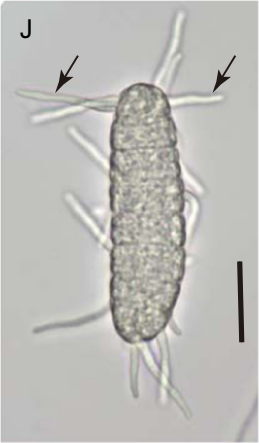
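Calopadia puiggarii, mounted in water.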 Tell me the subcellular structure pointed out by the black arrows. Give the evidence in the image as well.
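Many slender tubes grow out from the sides and ends of a single elongate spore. The tubes are narrow, pale and of even width.
Germ tubes.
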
